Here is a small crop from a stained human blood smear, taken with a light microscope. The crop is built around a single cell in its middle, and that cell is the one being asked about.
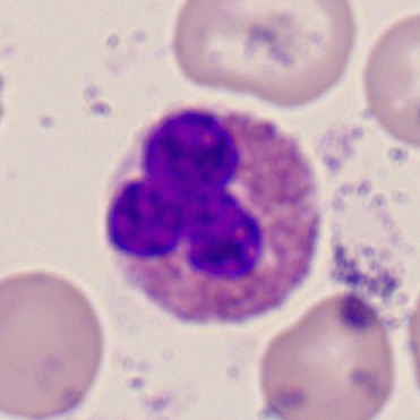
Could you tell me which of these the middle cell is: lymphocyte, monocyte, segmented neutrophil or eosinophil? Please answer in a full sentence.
At the crop's centre, the cell is an eosinophil.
